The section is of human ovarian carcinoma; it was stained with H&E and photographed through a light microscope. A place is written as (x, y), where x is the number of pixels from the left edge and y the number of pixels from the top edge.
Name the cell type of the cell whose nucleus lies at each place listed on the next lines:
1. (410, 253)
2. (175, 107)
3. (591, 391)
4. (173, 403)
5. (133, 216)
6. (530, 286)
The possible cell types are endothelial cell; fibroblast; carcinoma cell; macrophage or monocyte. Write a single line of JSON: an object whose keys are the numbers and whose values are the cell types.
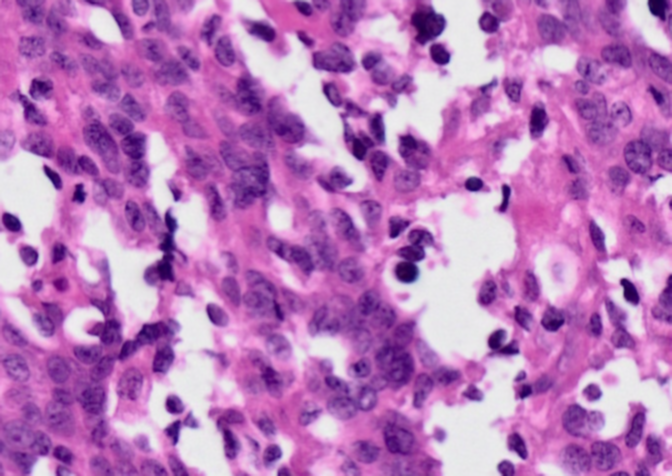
{"1": "carcinoma cell", "2": "carcinoma cell", "3": "carcinoma cell", "4": "carcinoma cell", "5": "macrophage or monocyte", "6": "macrophage or monocyte"}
